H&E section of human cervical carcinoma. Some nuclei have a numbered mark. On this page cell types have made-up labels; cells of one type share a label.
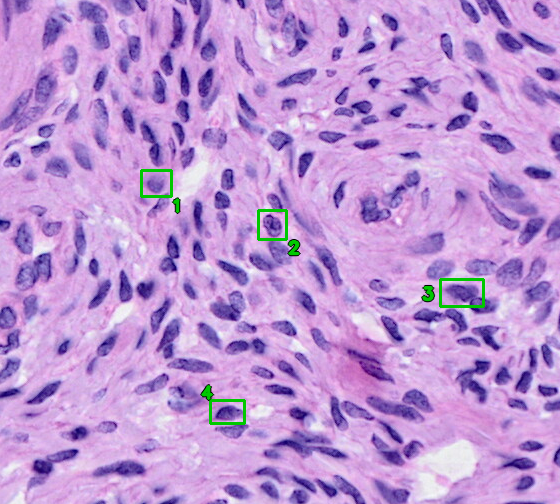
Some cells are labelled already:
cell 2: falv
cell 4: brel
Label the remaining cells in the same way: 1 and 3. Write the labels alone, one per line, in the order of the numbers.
brel
brel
